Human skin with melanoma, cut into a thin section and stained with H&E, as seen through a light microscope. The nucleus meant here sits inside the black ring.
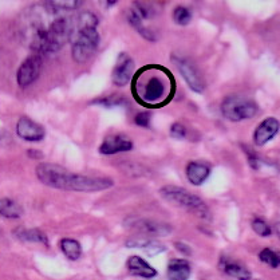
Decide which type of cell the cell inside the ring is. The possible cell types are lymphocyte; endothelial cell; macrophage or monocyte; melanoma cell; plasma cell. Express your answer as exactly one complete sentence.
In the context of this tissue, the cell inside the ring is a plasma cell.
